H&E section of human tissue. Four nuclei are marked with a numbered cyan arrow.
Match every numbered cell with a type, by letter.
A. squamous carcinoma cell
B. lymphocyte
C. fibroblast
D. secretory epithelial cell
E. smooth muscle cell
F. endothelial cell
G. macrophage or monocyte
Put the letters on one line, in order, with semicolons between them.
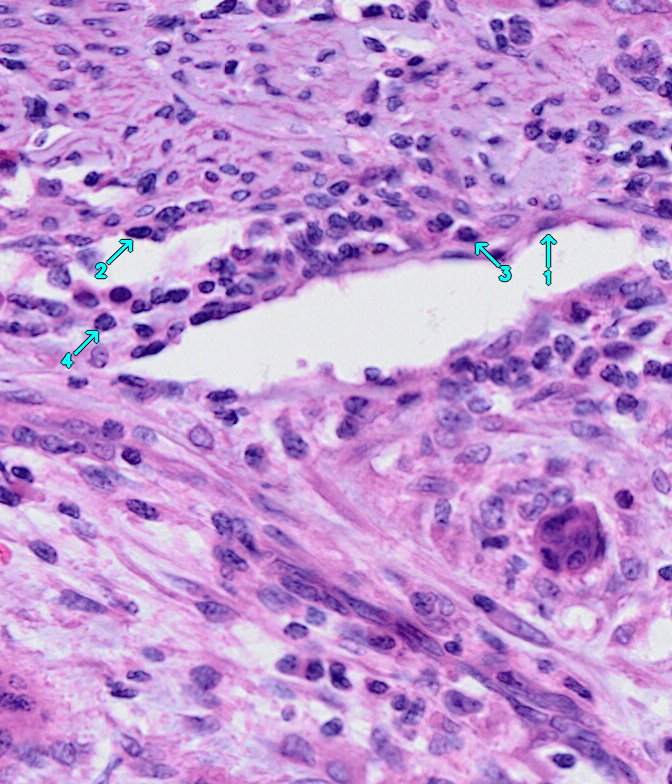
F; B; B; B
